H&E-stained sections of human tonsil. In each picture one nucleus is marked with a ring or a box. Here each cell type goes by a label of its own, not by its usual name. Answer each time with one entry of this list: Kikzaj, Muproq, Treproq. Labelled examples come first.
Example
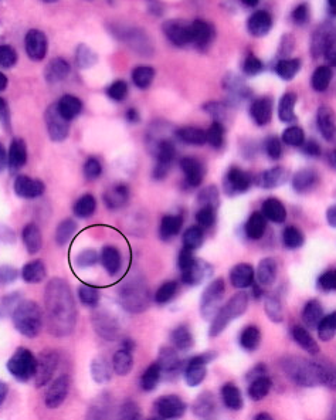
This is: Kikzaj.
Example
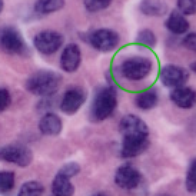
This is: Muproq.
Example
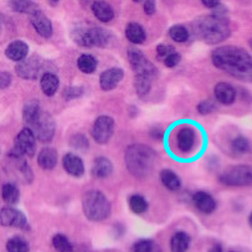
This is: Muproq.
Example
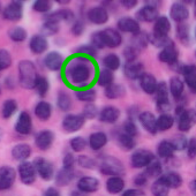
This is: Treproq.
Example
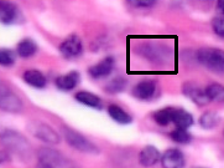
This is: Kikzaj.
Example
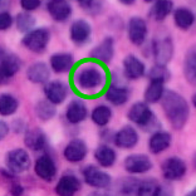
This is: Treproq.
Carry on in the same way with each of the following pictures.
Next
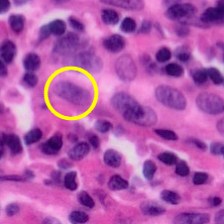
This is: Kikzaj.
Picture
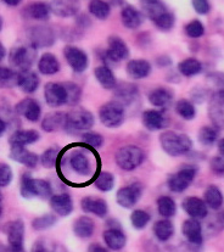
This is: Treproq.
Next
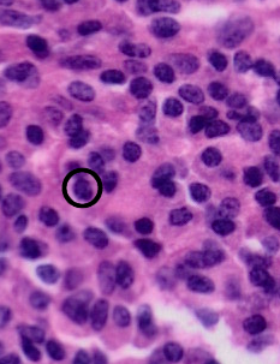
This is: Muproq.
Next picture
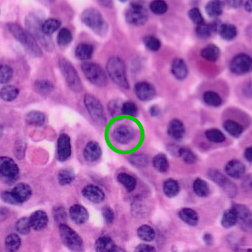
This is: Muproq.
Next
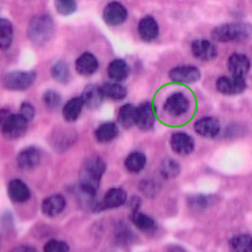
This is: Muproq.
